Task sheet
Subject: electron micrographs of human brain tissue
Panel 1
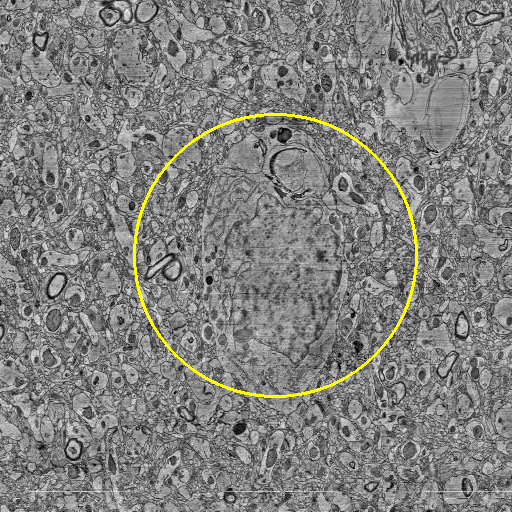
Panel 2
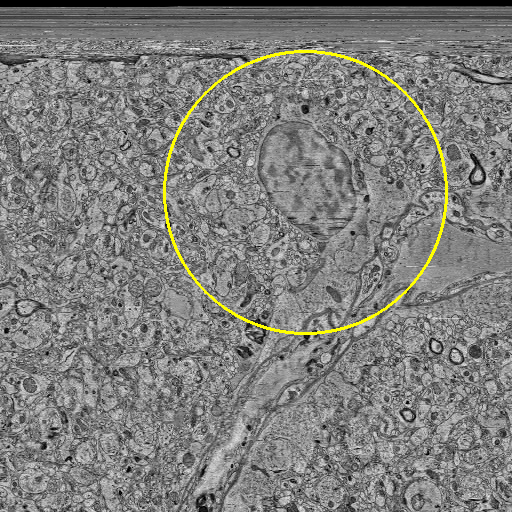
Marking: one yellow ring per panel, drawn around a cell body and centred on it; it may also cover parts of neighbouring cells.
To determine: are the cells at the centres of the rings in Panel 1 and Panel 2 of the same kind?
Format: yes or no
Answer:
no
